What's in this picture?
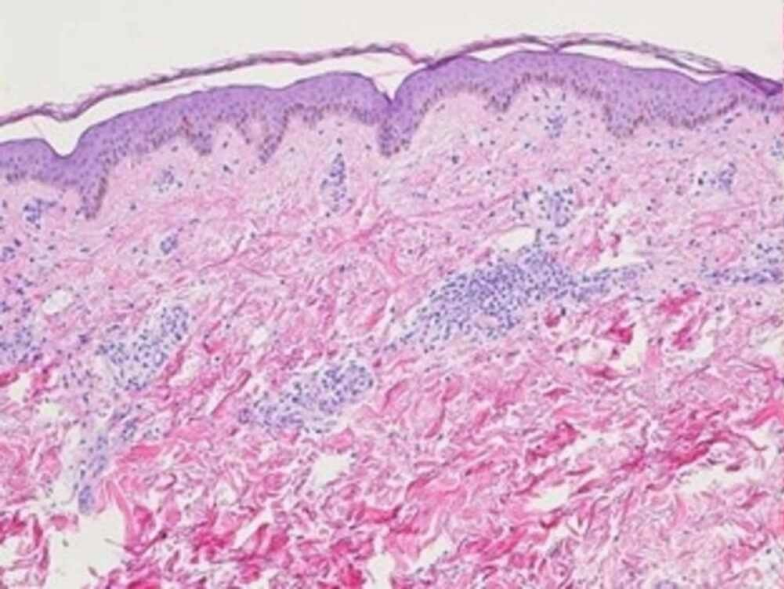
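Low-power view of skin with a superficial perivascular inflammatory infiltrate. In the upper dermis, small collections of dark-staining nuclei are grouped around small blood vessels. The deeper dermis consists of pink collagen bundles that are largely free of inflammatory cells.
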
